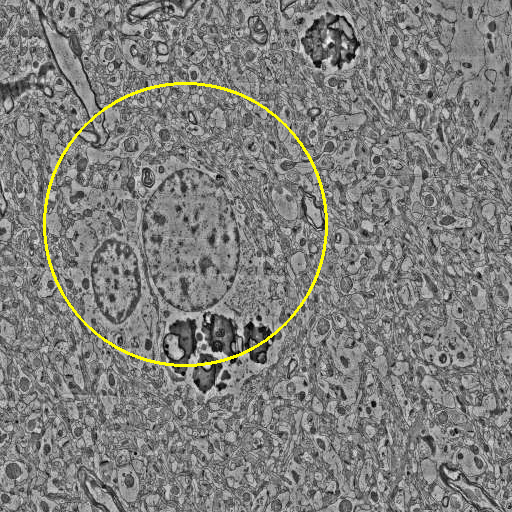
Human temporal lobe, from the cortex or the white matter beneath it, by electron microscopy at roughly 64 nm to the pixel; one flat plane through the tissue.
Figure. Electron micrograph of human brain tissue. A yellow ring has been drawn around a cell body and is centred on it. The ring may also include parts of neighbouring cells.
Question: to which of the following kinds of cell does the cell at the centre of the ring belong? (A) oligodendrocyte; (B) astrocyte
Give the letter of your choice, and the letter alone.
B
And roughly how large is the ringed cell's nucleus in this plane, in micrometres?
In this plane, the nucleus is roughly 9 by 6 micrometres.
